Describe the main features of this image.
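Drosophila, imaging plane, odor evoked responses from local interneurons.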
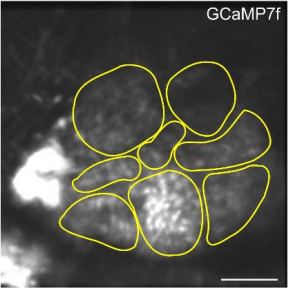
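A cluster of rounded, lobular compartments of finely granular grey-white fluorescence fills the field, each compartment traced by a yellow line. The compartments abut one another, differ in size, and one near the bottom centre shows brighter speckled texture. These are glomeruli of the antennal lobe, the spherical neuropil units where olfactory input is sorted. A bright, irregular mass lies outside the cluster at the left.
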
